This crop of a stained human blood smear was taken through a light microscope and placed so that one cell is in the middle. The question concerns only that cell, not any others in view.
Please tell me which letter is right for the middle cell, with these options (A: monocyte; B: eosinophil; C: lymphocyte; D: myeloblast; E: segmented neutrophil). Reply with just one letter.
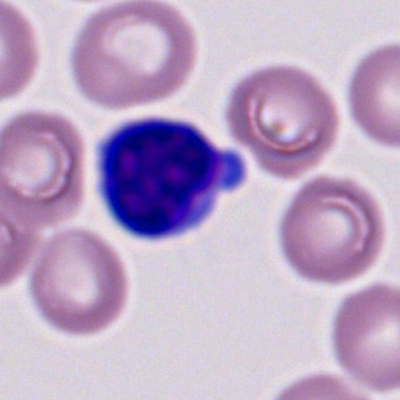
C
